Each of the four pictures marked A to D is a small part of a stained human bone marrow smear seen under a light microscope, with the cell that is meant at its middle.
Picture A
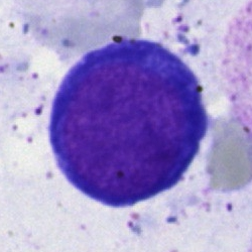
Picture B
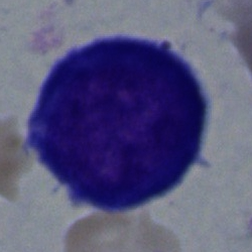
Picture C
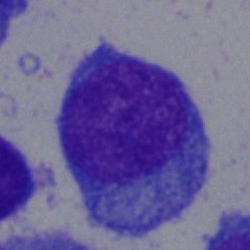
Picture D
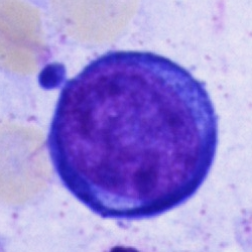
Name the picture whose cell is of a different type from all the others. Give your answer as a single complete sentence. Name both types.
The others show proerythroblasts, but picture C shows a plasma cell.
